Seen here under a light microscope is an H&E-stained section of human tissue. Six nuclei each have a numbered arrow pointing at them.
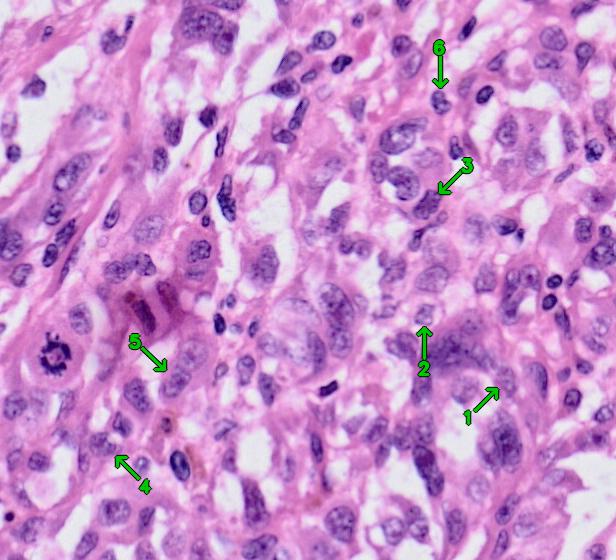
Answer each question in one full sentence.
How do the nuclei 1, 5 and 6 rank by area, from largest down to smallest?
The nuclei rank 5, 1, 6, from largest to smallest.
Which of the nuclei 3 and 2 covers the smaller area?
With nucleus 3 about 1.5 times its size, nucleus 2 is the smaller of the two.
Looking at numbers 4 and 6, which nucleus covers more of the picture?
It is nucleus 4, which covers about 2 times the area of nucleus 6.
